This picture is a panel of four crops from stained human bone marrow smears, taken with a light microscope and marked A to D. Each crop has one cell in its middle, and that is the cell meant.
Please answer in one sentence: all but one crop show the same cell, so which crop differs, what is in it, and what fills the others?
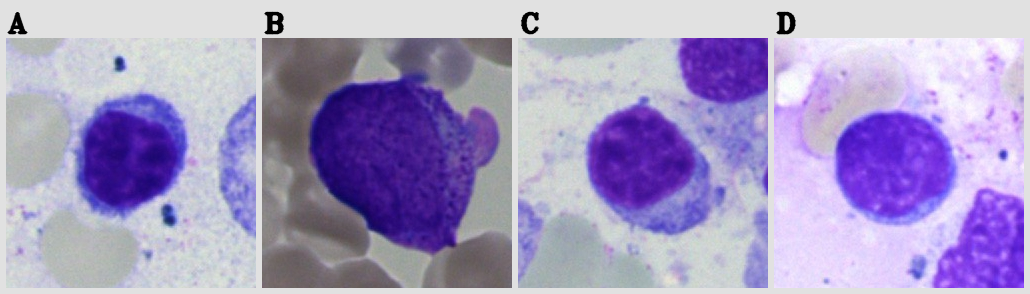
Crop B is the only crop with a blast, the others all showing lymphocytes.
